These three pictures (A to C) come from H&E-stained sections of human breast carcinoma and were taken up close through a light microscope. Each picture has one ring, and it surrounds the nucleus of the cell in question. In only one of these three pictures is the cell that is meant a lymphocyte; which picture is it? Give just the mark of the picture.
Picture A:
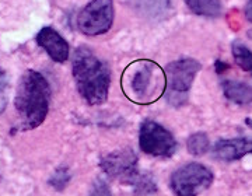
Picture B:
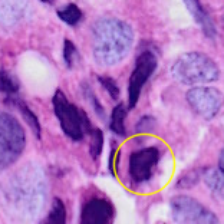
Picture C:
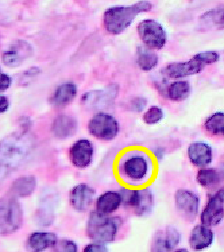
C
